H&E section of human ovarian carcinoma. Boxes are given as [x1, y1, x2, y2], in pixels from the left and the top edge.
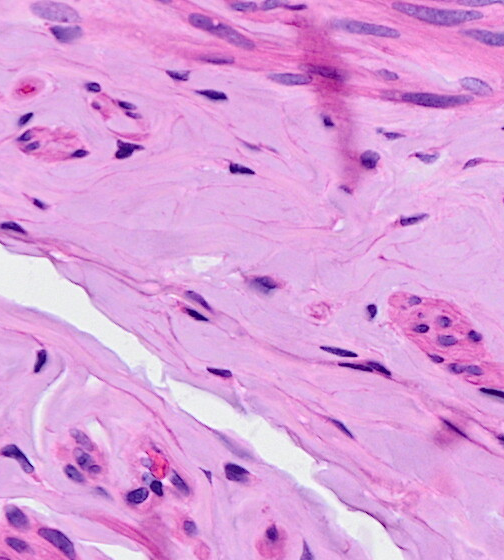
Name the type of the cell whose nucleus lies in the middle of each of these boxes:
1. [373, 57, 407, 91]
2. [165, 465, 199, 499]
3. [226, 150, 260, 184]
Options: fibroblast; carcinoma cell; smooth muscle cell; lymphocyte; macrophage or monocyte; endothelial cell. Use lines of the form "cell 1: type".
cell 1: smooth muscle cell
cell 2: endothelial cell
cell 3: fibroblast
